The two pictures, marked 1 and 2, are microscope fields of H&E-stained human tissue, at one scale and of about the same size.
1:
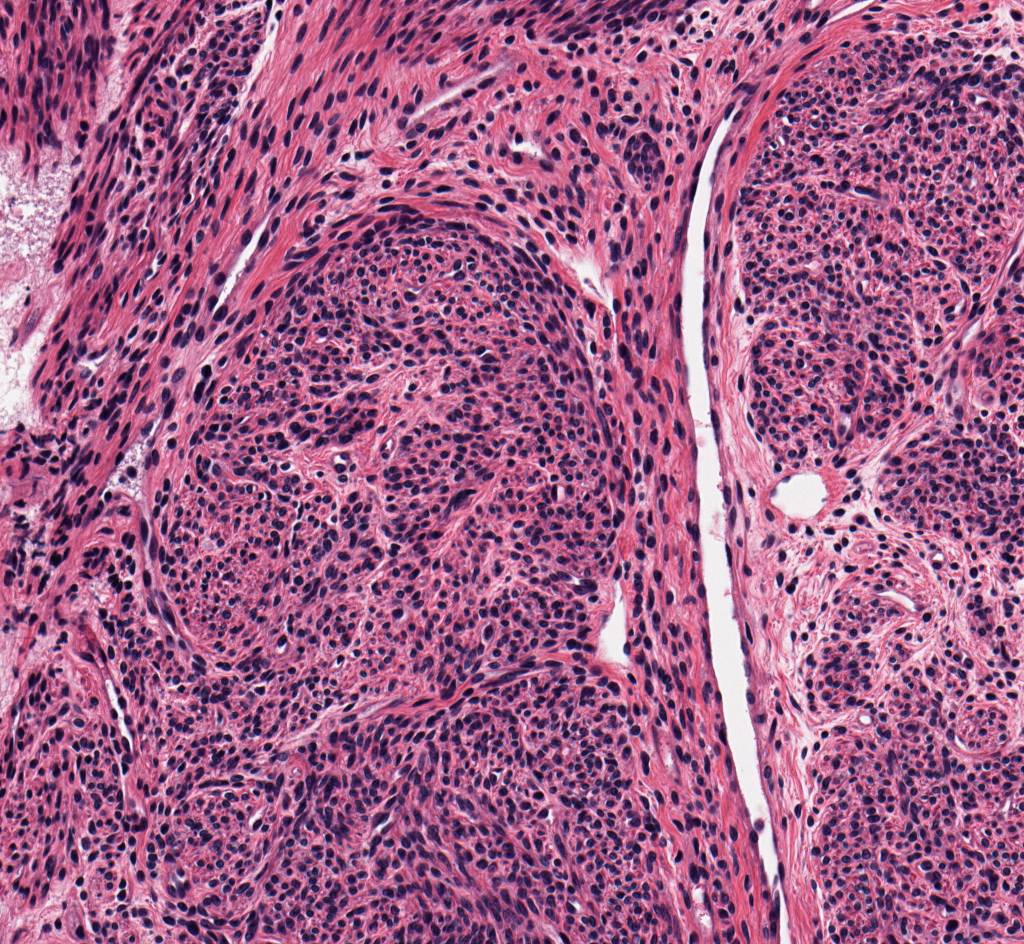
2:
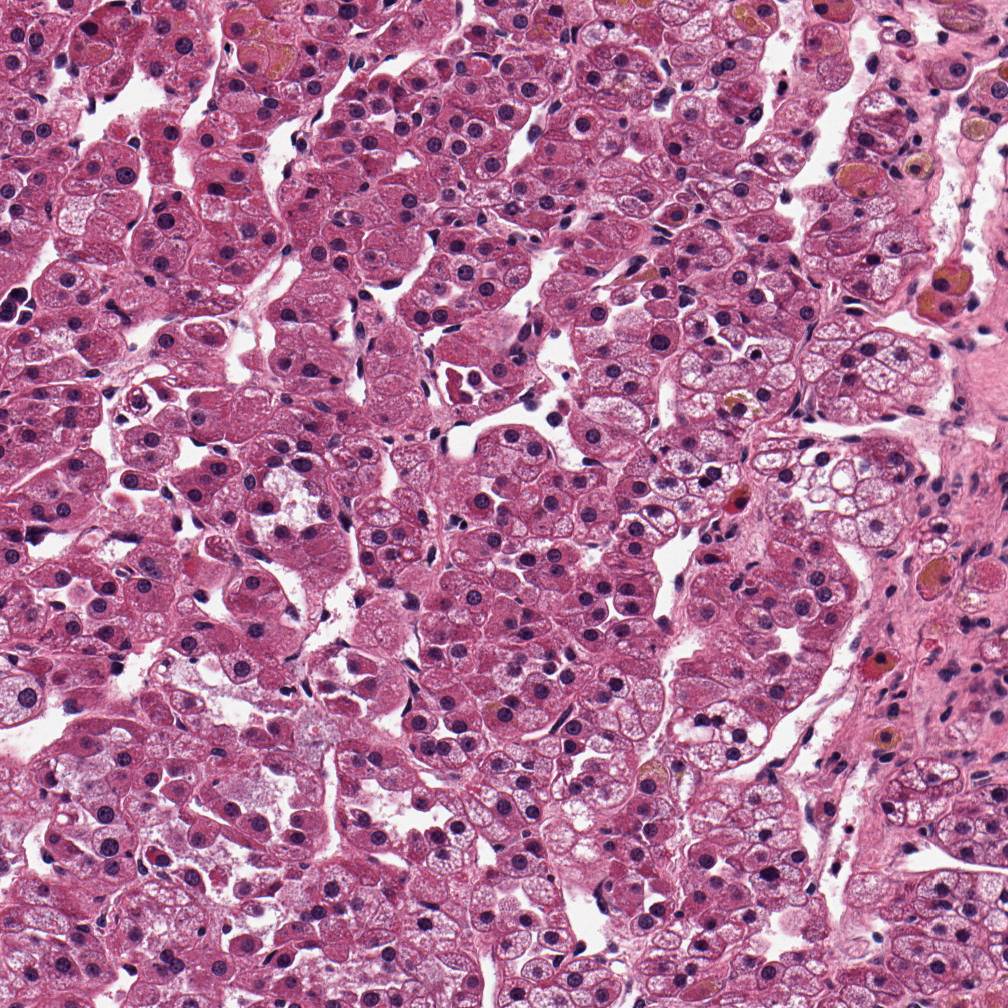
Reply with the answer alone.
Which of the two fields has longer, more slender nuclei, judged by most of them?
1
